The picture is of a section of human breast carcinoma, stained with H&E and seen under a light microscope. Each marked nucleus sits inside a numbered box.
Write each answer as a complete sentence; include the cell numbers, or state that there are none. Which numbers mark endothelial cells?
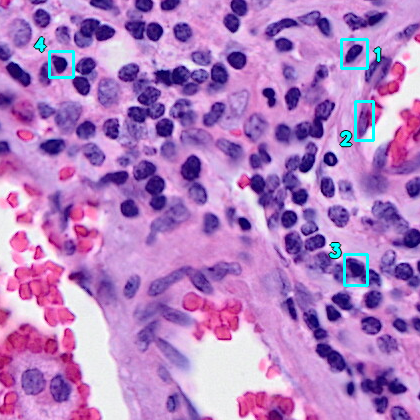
Among the numbered nuclei, only the one labelled 2 belongs to an endothelial cell.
